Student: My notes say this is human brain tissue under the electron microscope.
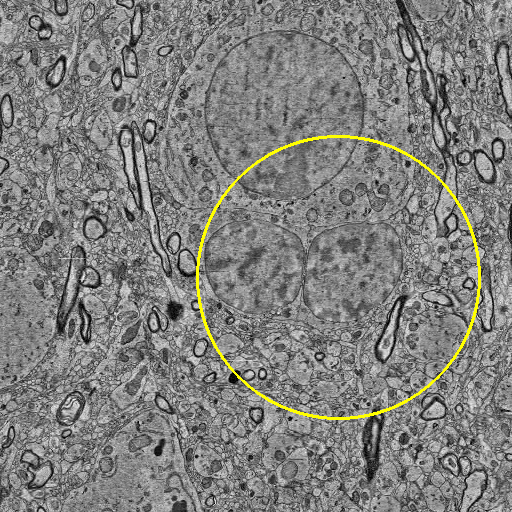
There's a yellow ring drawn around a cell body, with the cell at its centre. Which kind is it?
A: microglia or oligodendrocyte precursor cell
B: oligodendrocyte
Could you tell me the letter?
B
